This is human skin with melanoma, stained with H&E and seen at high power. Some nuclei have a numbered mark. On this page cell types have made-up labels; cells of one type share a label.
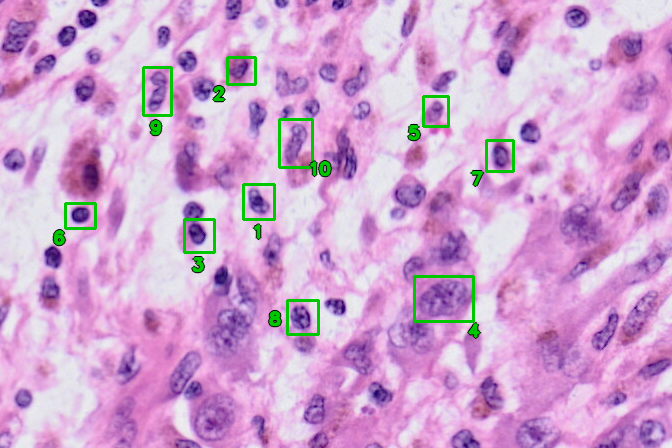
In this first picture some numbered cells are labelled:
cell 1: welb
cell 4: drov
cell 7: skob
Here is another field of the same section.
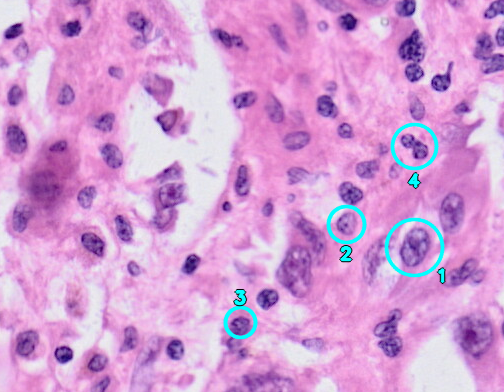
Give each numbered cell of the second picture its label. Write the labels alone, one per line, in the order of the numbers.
drov
skob
skob
welb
